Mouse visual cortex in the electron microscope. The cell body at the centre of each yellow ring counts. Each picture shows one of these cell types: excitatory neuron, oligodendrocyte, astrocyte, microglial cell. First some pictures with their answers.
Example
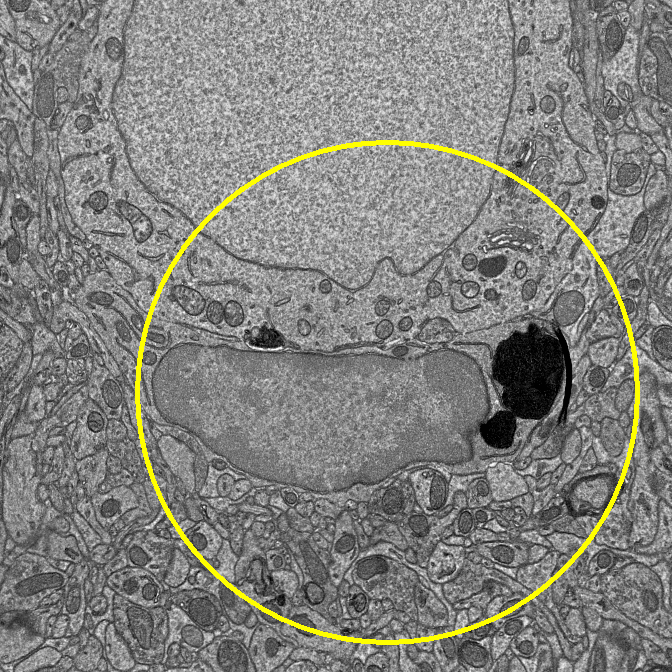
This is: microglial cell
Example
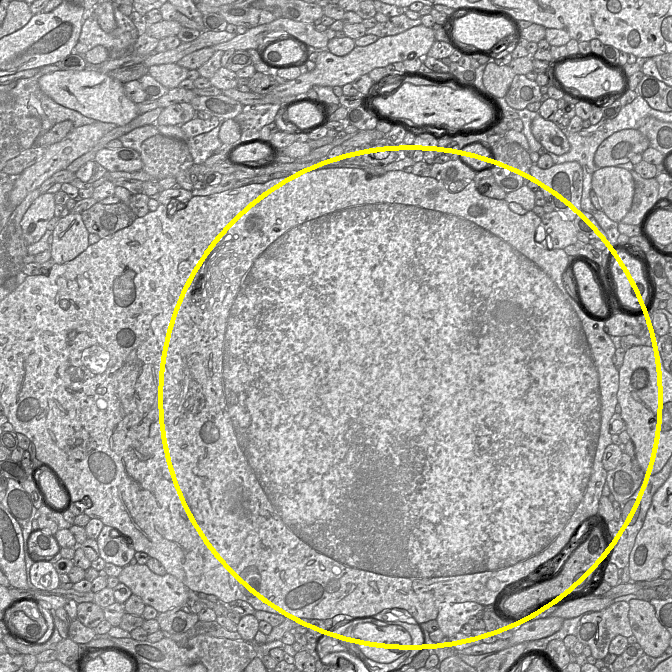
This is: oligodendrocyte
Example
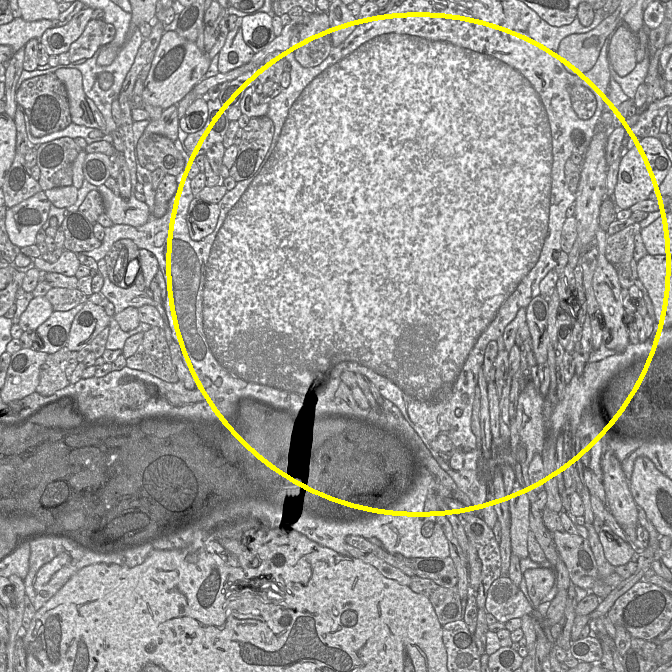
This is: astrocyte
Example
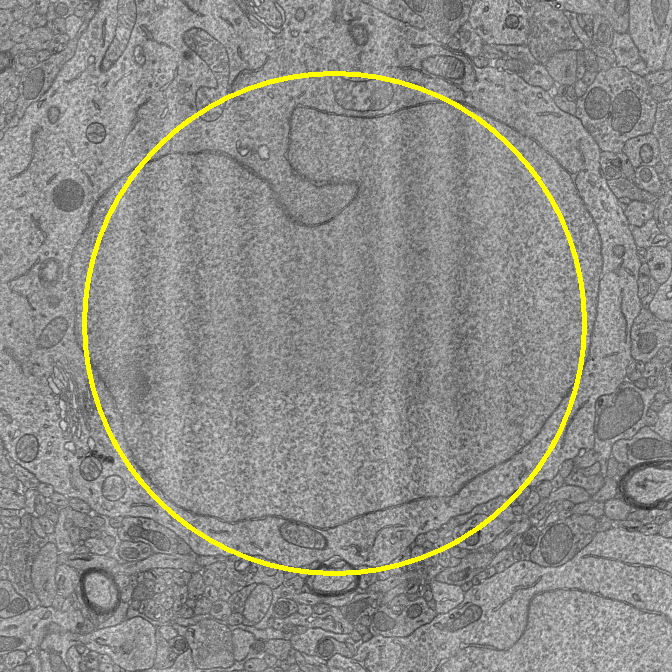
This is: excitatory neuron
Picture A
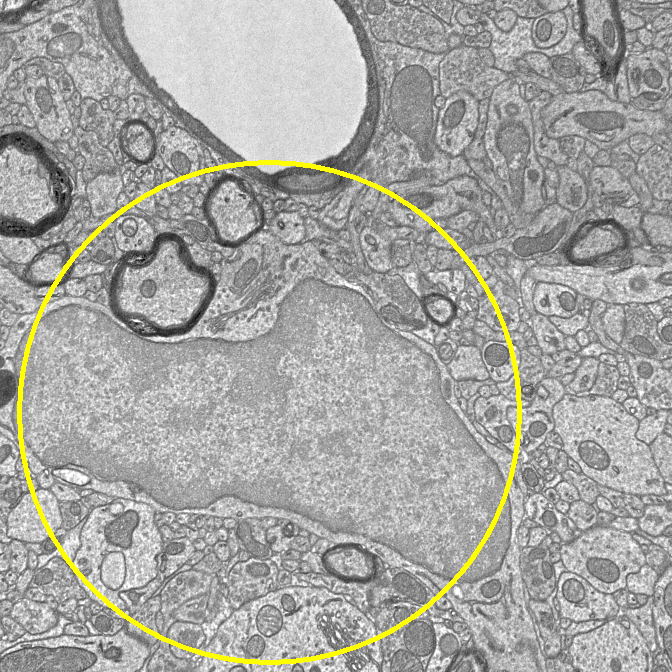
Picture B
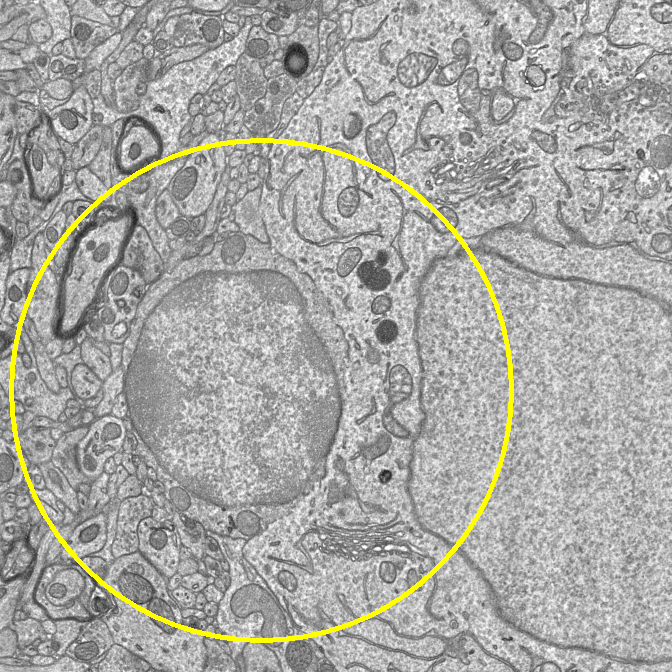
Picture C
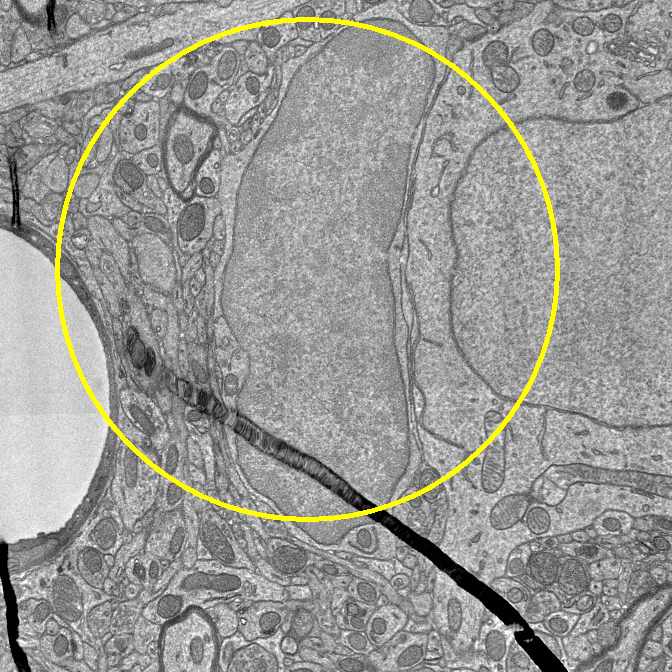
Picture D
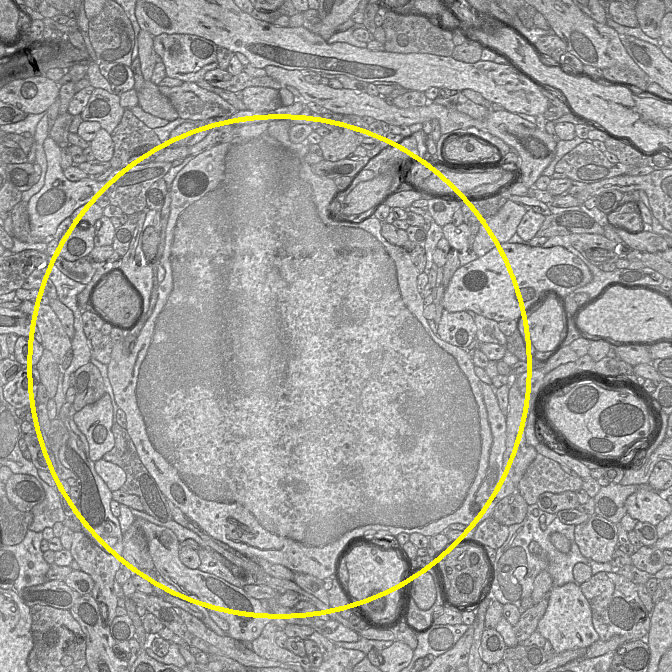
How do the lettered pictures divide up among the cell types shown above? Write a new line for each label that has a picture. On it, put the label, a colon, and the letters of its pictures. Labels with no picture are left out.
oligodendrocyte: B
microglial cell: A, C, D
